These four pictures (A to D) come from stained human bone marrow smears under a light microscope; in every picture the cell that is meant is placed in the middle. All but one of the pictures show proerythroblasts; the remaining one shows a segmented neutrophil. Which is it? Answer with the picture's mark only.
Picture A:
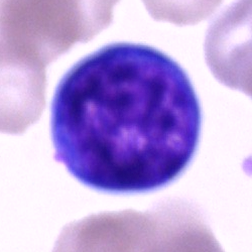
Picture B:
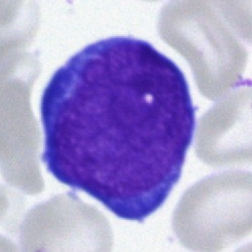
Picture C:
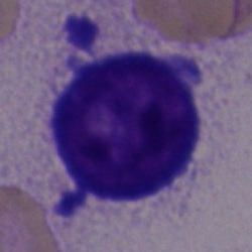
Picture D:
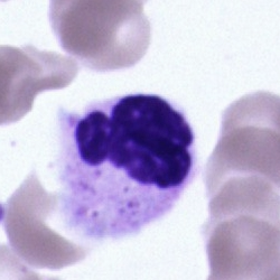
D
